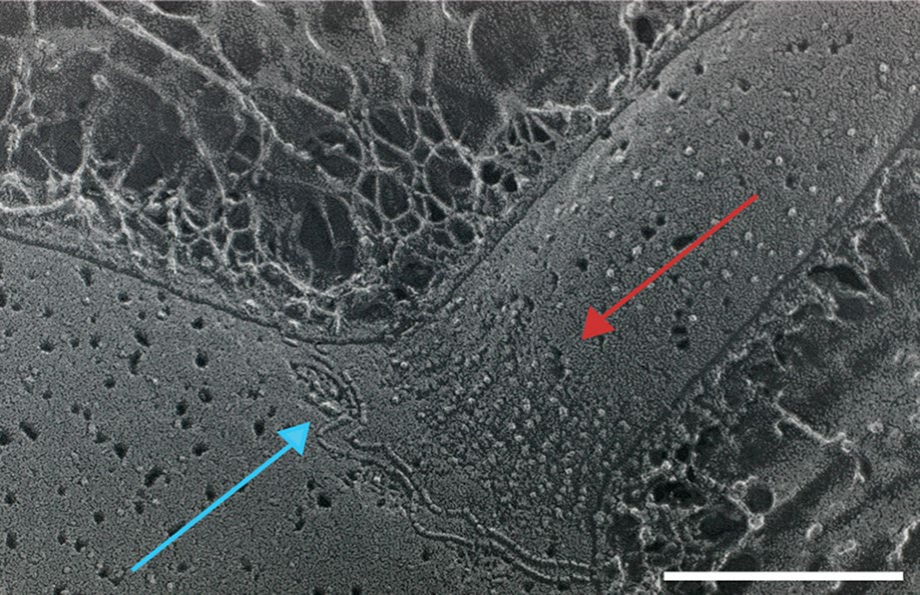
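This replica shows the membrane surface at the base of a cilium, where the ciliary necklace and the ciliary bracelet lie. A smooth, finely granular membrane shaft rises diagonally from a broader membrane surface dotted with small pits. At the base of the shaft, the membrane carries a band of many closely packed small particles. Close by runs a set of wavy, beaded strands. On either side, deep-etched cytoplasm shows a loose meshwork of branching filaments.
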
